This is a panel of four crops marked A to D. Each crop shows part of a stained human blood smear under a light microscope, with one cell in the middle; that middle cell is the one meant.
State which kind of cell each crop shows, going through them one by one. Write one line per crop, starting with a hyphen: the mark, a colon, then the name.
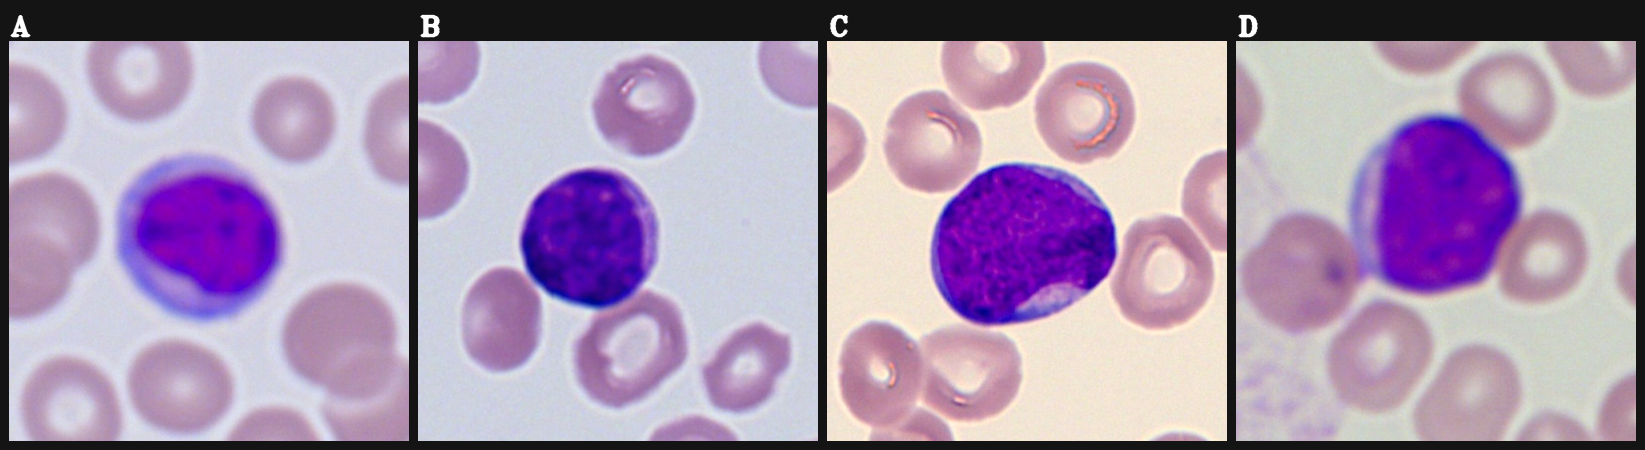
- A: lymphocyte
- B: lymphocyte
- C: myeloblast
- D: myeloblast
